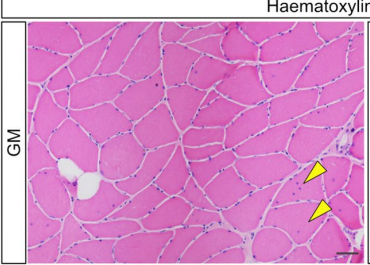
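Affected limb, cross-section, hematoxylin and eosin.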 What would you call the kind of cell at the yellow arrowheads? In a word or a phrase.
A: Centrally nucleated fibers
